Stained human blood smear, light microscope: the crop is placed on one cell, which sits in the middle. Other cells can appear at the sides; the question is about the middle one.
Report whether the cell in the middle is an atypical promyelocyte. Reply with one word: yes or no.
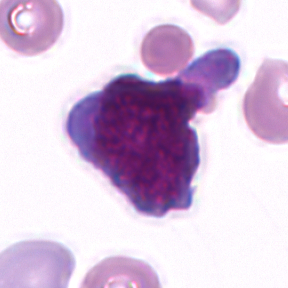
yes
